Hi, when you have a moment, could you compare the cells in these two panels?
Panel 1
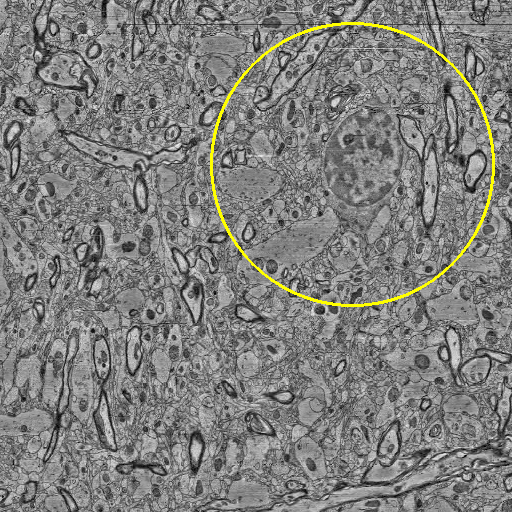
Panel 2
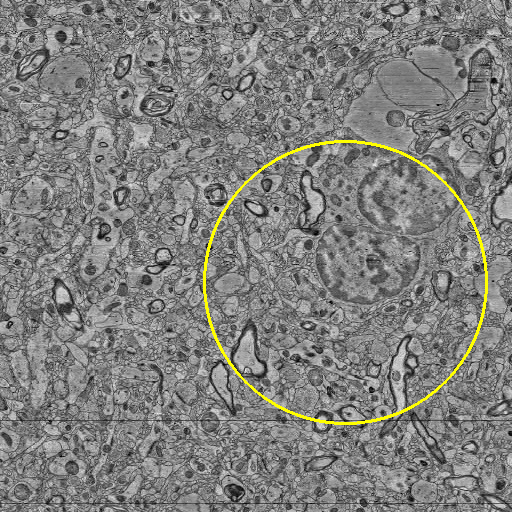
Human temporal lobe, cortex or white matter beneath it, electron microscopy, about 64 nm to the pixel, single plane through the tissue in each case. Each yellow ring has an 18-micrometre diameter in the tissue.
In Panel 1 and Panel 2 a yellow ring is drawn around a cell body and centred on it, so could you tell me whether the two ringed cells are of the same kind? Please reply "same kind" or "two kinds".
same kind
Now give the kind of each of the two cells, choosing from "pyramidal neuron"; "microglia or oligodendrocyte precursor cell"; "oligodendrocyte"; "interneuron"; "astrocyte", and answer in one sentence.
In the first picture and in the second, the ring is centred on an oligodendrocyte.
